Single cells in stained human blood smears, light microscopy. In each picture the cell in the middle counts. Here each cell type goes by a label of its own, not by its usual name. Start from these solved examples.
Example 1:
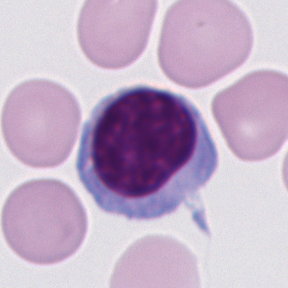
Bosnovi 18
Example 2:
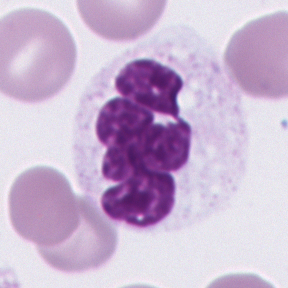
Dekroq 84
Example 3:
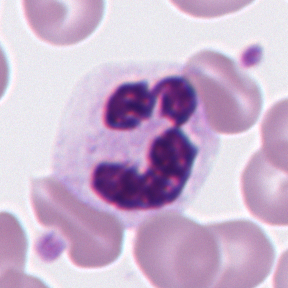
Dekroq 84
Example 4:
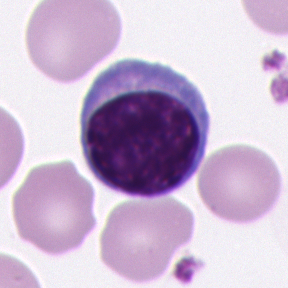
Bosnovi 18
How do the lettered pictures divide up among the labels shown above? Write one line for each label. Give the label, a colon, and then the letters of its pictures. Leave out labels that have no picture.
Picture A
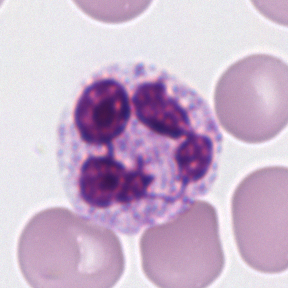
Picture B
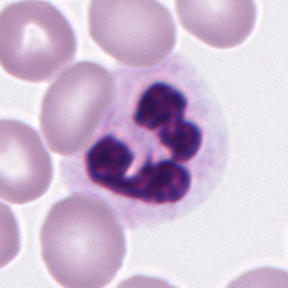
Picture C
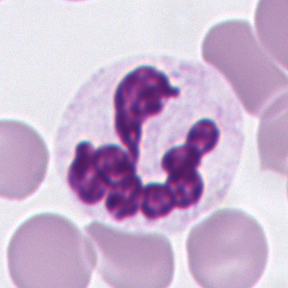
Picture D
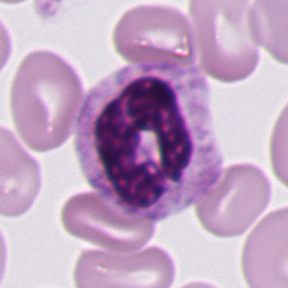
Dekroq 84: A, B, C, D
